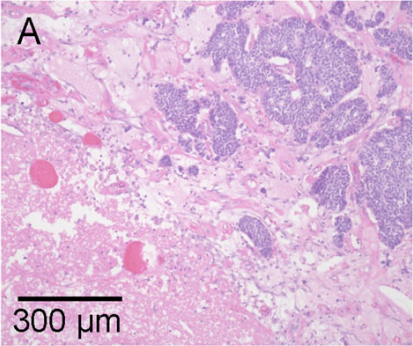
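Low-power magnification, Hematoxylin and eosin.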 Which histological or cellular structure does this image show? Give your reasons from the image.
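Crowded purple tumor cells form rounded nests and trabeculae. The nests are separated by pale pink fibrous stroma.
Conclusion: organoid architecture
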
